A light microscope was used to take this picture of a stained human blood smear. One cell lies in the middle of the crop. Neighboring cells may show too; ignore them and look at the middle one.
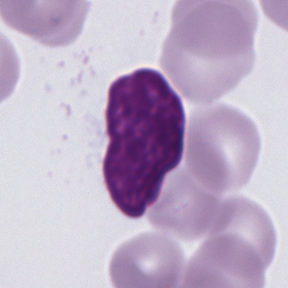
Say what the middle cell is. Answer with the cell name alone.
smudge cell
